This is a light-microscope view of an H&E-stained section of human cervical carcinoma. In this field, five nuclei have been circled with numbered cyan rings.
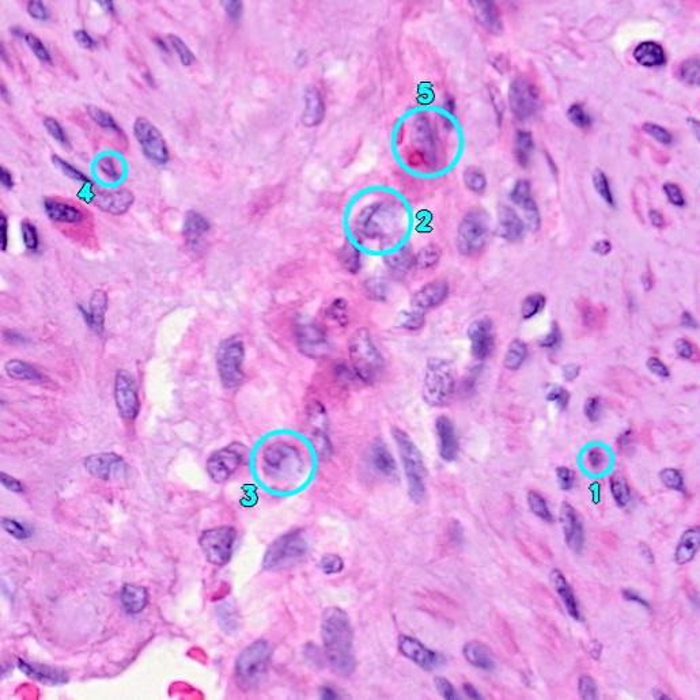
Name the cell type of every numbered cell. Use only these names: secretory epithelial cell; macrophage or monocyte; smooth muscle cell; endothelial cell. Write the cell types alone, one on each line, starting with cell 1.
smooth muscle cell
endothelial cell
endothelial cell
smooth muscle cell
endothelial cell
